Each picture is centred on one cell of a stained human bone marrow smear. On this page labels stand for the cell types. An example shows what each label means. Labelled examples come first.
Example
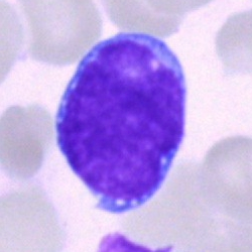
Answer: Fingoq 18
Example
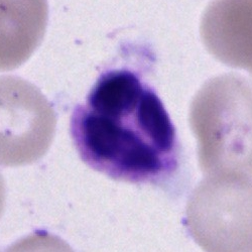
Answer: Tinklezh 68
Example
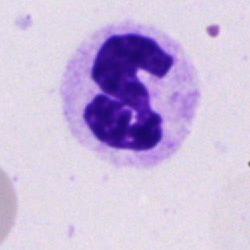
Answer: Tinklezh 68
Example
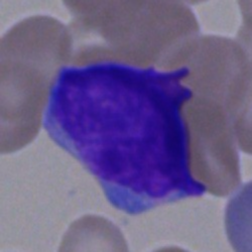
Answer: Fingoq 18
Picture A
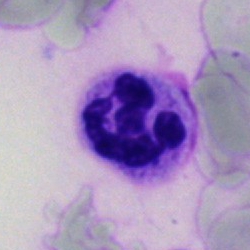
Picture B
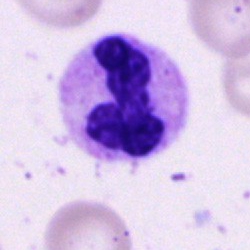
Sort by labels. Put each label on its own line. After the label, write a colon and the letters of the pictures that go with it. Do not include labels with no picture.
Tinklezh 68: A, B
